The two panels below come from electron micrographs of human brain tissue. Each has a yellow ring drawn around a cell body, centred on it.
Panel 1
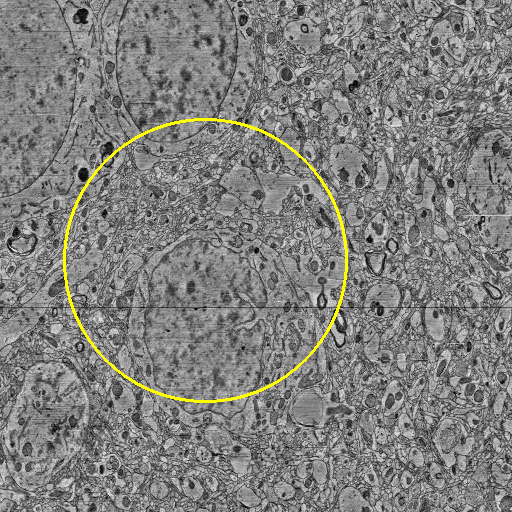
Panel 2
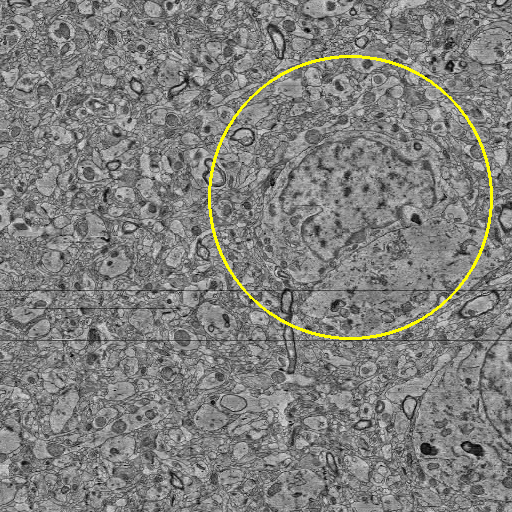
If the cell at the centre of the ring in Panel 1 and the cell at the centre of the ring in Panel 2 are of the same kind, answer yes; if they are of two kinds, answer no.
yes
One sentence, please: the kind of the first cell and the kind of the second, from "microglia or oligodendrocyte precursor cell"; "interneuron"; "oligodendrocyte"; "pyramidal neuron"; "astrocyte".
In both pictures the ring is centred on an interneuron.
